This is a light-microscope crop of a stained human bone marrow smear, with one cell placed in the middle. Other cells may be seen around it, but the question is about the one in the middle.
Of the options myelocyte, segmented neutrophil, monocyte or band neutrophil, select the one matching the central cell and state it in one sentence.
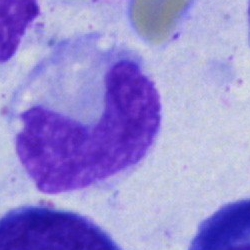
The cell at the centre of the field is a band neutrophil.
